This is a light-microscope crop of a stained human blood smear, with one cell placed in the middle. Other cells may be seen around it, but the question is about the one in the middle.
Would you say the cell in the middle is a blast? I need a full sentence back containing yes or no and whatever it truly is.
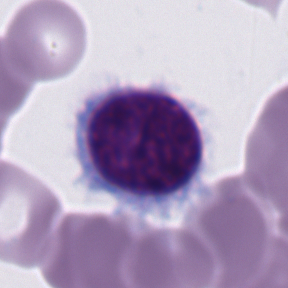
No, what is seen at the centre is a hairy cell instead of a blast.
